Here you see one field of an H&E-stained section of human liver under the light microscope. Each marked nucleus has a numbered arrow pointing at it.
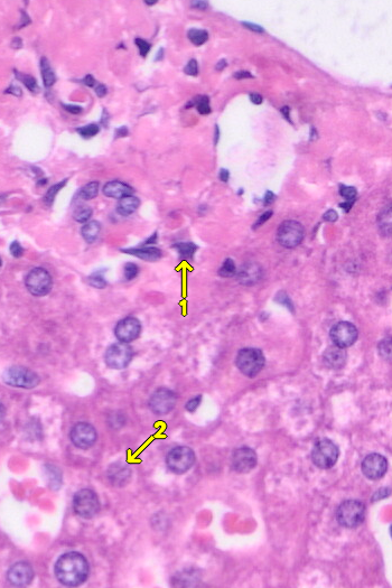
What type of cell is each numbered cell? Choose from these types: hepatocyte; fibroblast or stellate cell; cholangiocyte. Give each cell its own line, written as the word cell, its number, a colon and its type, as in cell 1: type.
cell 1: fibroblast or stellate cell
cell 2: hepatocyte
